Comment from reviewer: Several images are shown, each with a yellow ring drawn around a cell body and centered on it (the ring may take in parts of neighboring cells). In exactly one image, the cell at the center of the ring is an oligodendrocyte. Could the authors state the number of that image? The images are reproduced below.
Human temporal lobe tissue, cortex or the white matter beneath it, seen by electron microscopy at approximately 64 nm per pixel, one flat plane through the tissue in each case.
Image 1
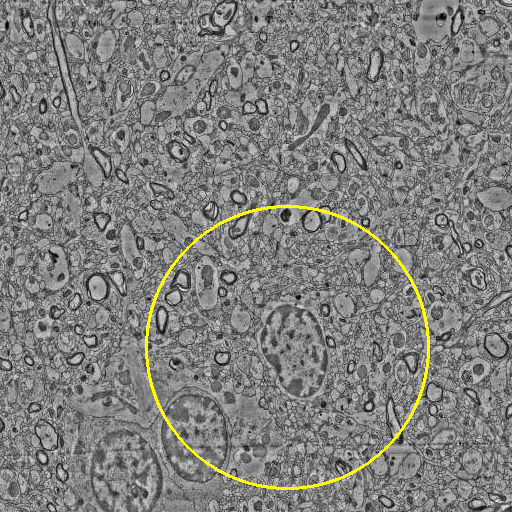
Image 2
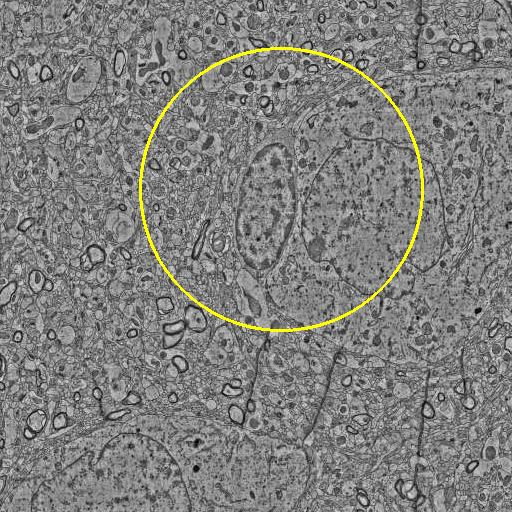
2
